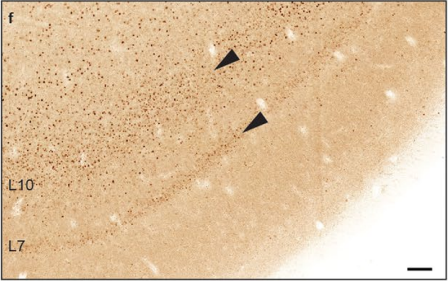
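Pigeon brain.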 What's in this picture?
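This section through the optic tectum shows its layered organisation as curved bands parallel to the surface. Small round dark brown nuclei are densely concentrated in two bands, one broad band in the upper part and a thinner line of nuclei beneath it. Between and outside these bands the brown nuclei are sparser and the tissue is pale tan. The outer edge of the tectum runs along the lower right, where the tissue is largely free of stained nuclei. A few small blood vessels appear as pale slits in the neuropil.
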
